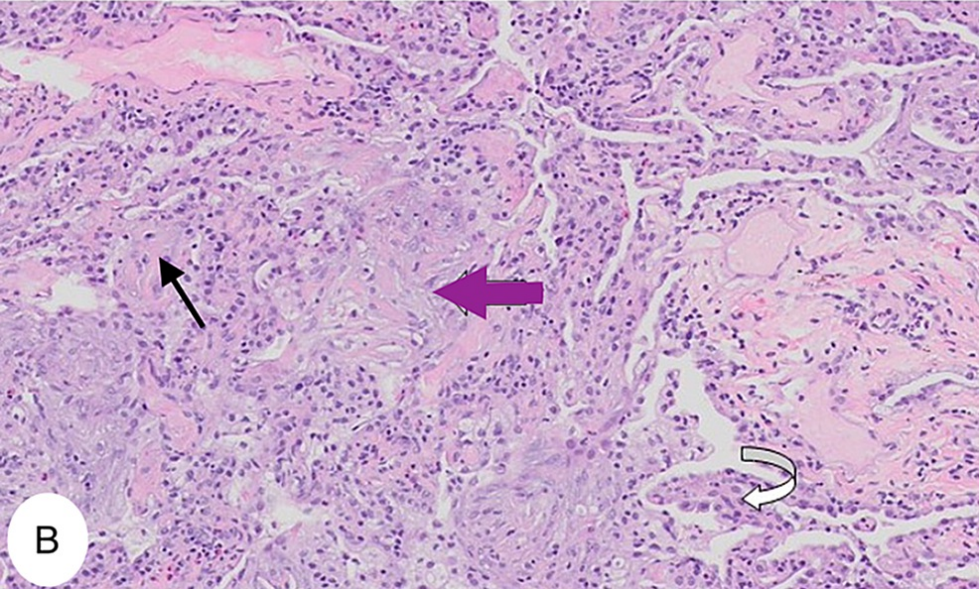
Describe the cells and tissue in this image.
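This is lung parenchyma with interstitial fibrosis and alveolar epithelial hyperplasia. The alveolar walls are markedly thickened and crowded with cells, leaving only narrow, slit-like air spaces. Along many of these spaces the lining is made of plump cells with rounded dark nuclei set closely together. Within the thickened walls lie pale, loose, greyish-pink patches with scattered spindle-shaped nuclei in a wispy matrix. Denser bands of pink material run through the tissue between the cellular areas.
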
